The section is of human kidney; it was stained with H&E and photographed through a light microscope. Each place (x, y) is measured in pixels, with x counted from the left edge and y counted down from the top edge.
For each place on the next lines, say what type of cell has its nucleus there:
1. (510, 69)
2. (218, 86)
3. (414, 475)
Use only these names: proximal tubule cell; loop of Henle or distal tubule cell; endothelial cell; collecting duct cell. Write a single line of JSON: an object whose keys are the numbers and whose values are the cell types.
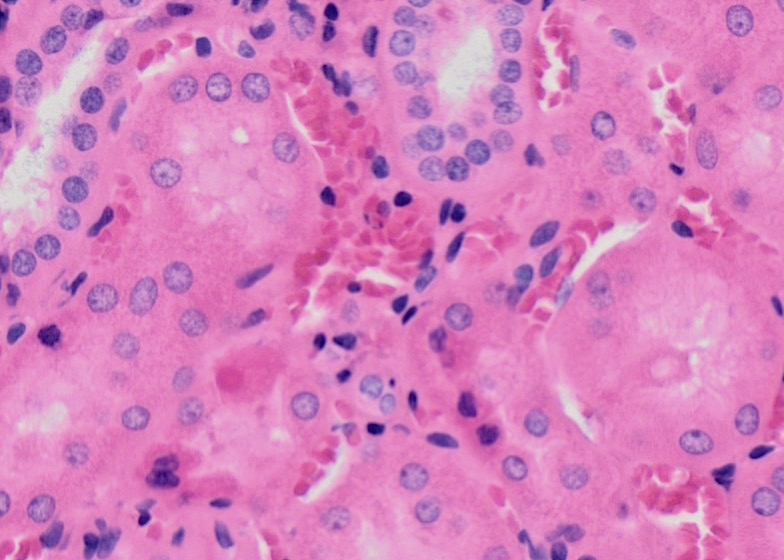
{"1": "collecting duct cell", "2": "proximal tubule cell", "3": "proximal tubule cell"}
